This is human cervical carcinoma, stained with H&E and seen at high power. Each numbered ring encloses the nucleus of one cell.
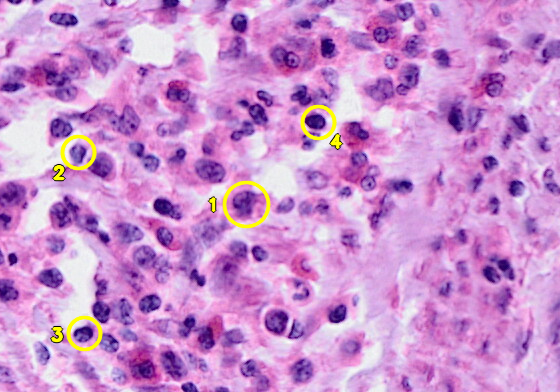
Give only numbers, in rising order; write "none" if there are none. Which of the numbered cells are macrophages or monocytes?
1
